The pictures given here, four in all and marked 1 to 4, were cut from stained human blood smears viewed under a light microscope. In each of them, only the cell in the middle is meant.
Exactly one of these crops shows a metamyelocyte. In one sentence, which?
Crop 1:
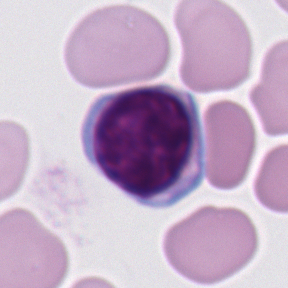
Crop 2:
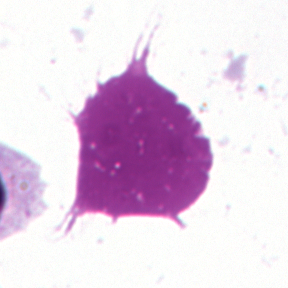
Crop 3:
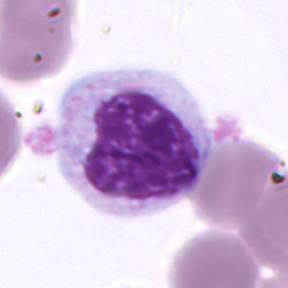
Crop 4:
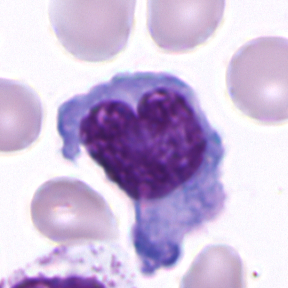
Crop 3 is identified as the crop showing a metamyelocyte.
